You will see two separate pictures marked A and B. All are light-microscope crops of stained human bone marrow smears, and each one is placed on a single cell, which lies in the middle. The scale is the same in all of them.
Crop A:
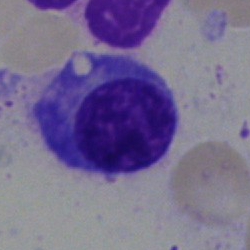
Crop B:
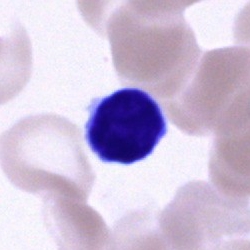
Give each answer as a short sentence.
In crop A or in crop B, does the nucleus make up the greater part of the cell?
Of the two, the nucleus in crop B makes up the greater part of its cell.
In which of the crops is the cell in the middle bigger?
Crop A holds the larger cell; it covers about 2.5 times the area of the cell in crop B.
